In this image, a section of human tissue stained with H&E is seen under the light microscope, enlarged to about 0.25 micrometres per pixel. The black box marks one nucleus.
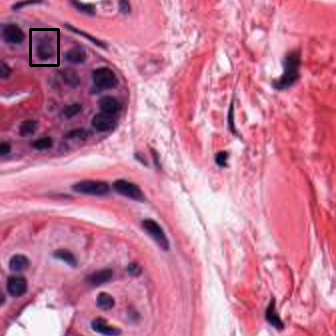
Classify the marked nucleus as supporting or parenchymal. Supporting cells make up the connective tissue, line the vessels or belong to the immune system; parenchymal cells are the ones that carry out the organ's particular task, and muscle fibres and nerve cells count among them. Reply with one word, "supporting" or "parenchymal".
parenchymal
